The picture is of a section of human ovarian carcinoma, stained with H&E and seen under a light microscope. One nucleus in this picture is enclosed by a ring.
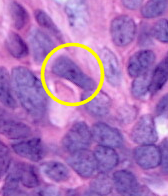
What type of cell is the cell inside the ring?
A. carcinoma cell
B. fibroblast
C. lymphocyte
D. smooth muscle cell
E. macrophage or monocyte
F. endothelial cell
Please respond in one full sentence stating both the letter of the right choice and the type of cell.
In this case the cell inside the ring is a carcinoma cell, so option A is correct.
